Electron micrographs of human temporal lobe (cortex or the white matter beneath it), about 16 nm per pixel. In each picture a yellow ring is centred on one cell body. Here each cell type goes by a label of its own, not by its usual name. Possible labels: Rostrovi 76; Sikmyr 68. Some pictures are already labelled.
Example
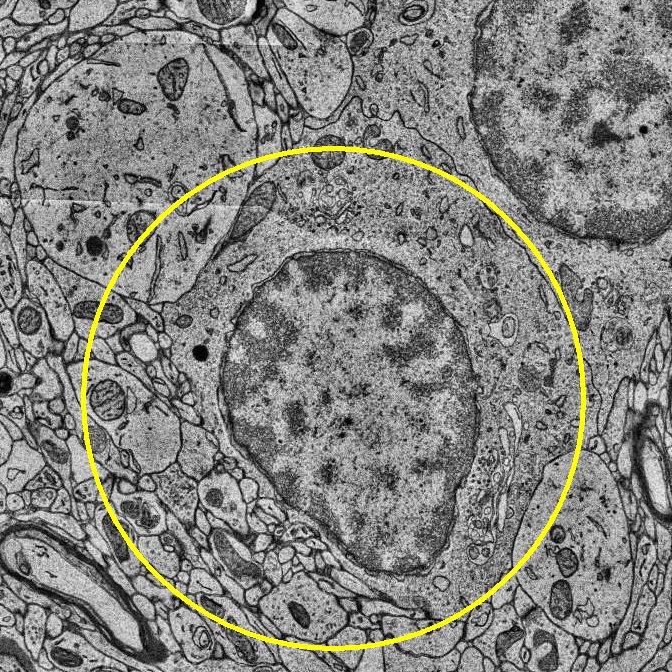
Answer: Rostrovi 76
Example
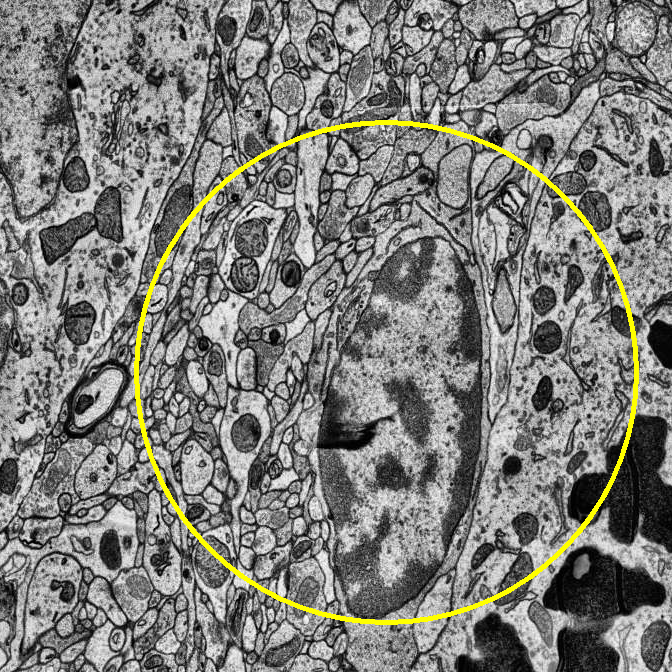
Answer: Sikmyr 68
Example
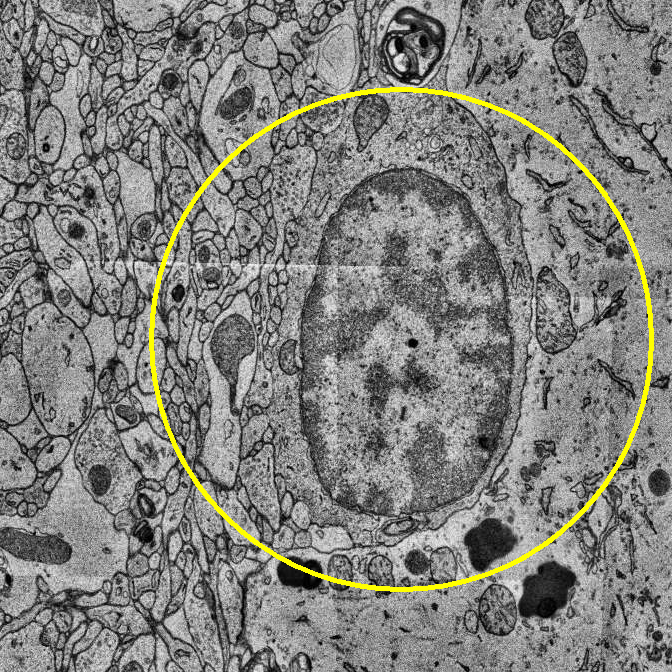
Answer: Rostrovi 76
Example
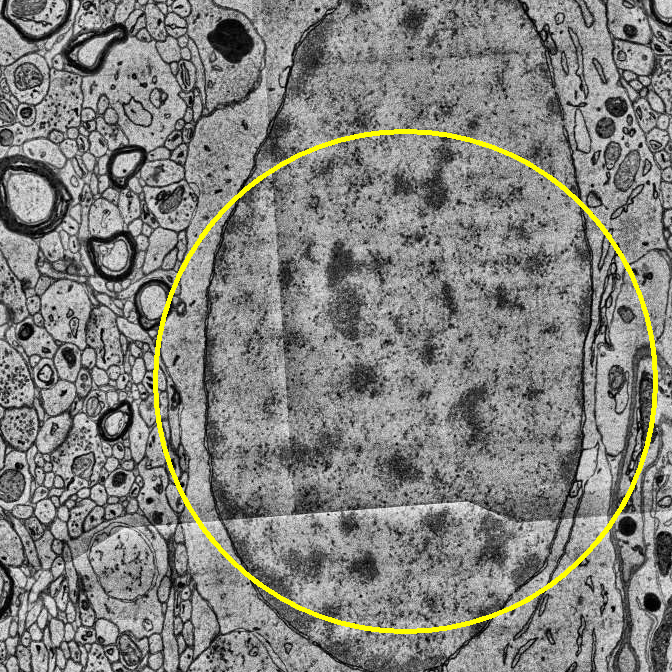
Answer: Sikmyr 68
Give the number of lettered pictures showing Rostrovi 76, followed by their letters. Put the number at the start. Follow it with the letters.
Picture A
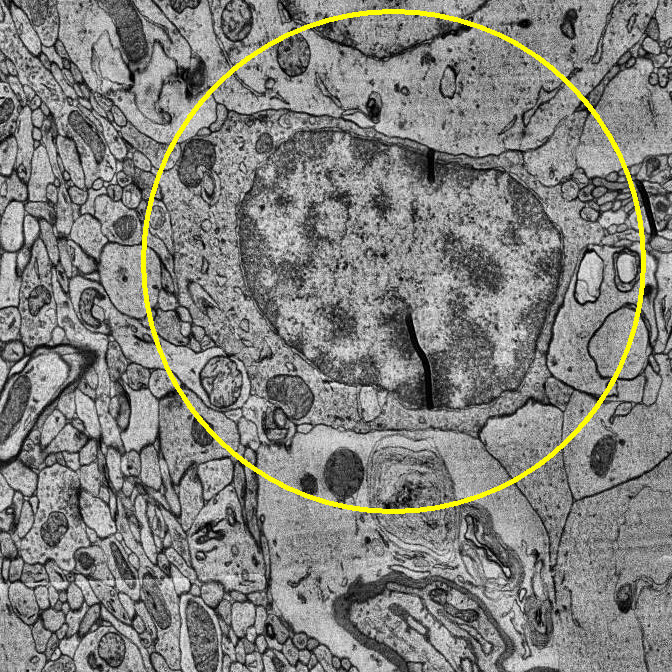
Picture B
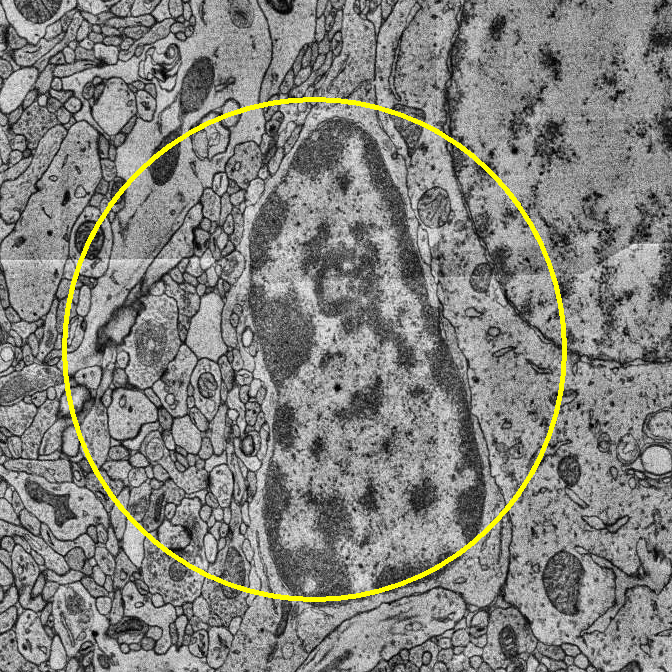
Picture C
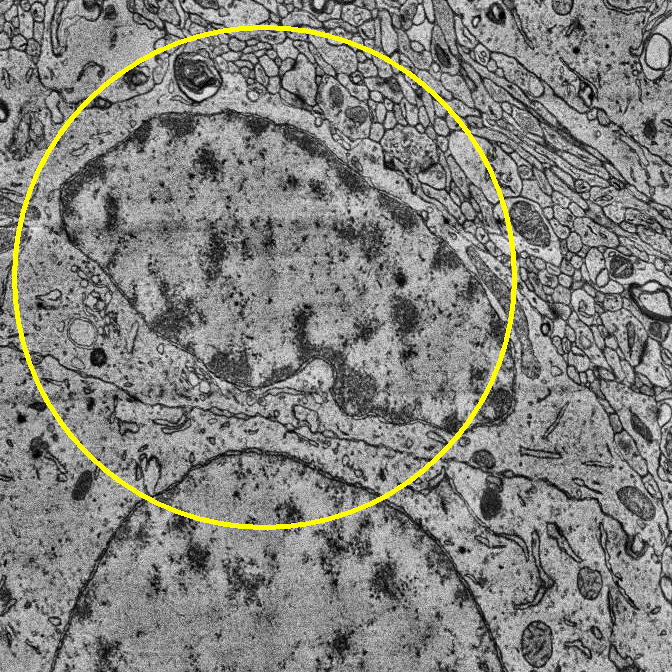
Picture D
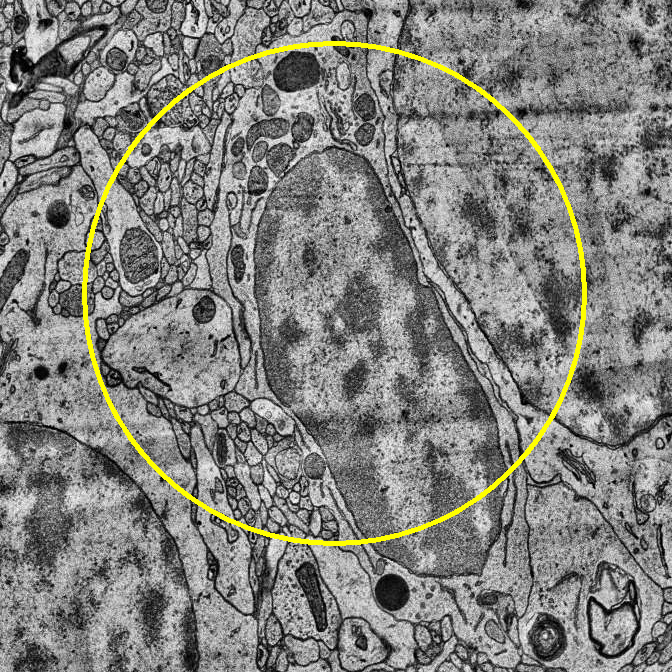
Count: 1 (A)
